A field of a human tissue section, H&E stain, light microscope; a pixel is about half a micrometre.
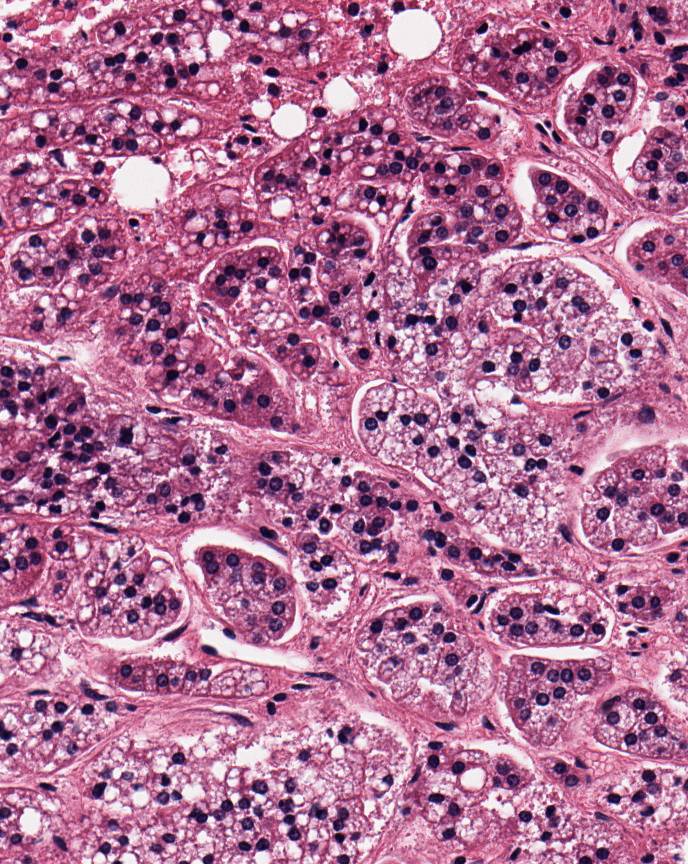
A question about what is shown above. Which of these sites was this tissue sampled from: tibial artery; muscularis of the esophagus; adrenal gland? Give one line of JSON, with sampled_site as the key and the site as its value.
{"sampled_site": "adrenal gland"}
